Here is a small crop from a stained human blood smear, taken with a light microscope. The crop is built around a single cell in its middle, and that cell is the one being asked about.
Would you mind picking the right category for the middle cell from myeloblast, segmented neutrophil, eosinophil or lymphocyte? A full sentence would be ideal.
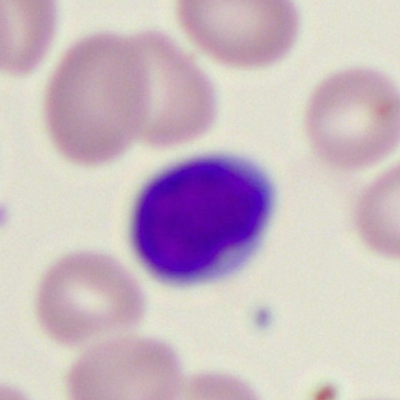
The single cell at the center of the crop is a lymphocyte.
